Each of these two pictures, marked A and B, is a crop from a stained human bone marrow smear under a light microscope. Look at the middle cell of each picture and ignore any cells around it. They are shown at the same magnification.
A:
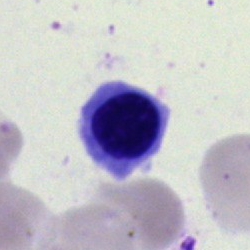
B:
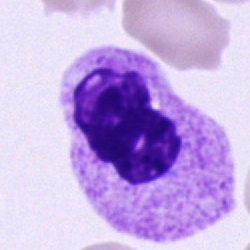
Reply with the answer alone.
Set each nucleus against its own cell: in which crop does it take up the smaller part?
B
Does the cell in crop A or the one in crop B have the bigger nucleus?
B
